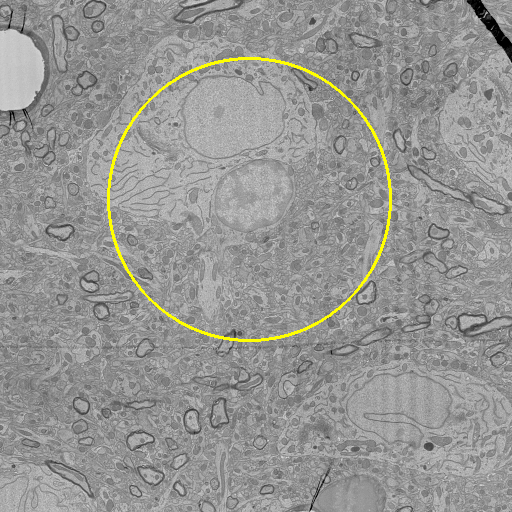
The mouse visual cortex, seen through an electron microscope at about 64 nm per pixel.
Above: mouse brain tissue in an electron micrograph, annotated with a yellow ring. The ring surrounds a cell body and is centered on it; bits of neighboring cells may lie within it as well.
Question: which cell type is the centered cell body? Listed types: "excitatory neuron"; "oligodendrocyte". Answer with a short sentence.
The centered cell body is an oligodendrocyte.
